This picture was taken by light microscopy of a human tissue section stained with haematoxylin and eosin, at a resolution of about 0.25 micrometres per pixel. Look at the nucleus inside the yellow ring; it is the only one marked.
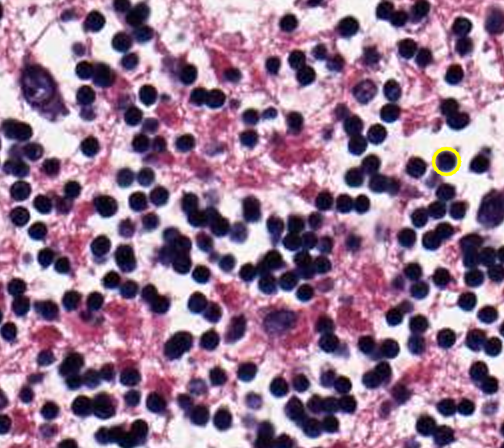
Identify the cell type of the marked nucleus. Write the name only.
cerebellar granule cell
